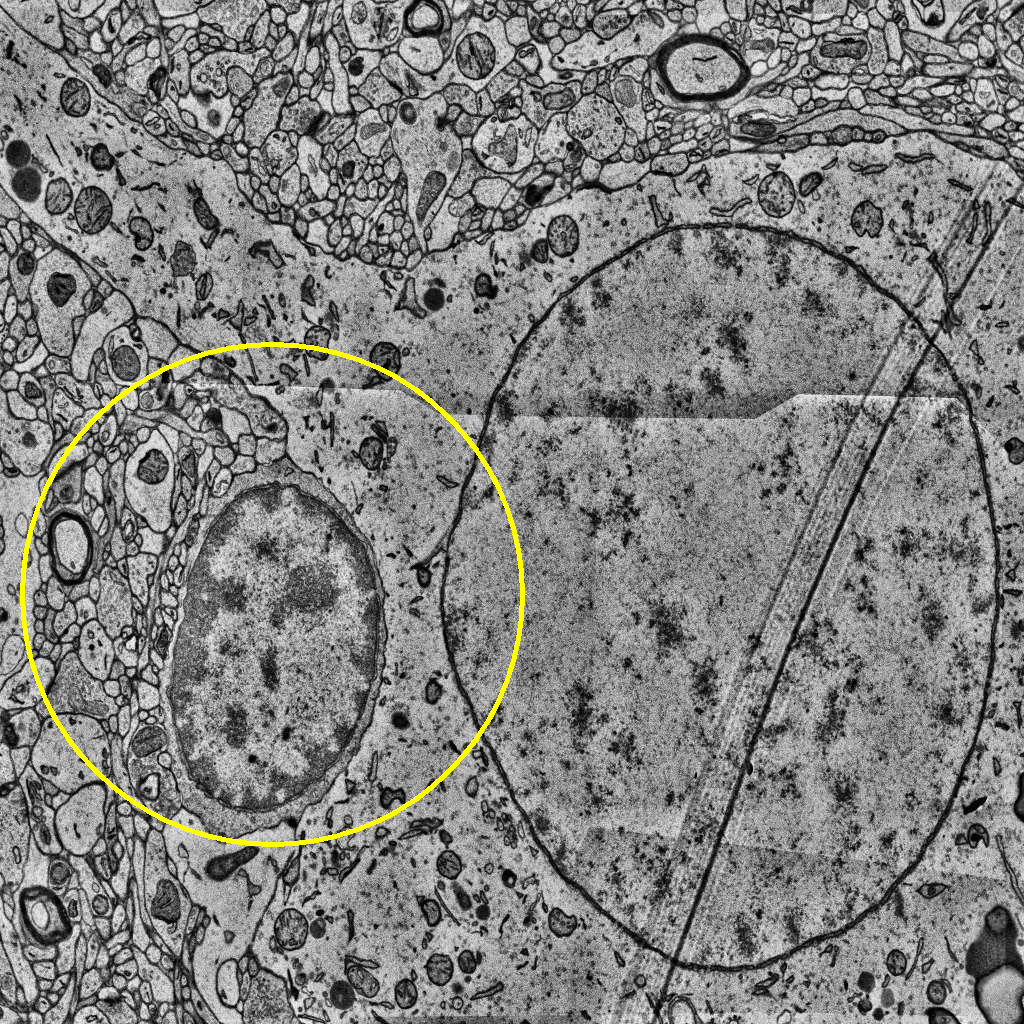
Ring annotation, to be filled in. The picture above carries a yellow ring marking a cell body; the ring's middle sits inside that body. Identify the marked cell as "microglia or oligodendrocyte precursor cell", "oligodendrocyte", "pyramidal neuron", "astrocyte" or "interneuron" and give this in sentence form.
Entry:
The cell at the middle of the ring is an oligodendrocyte.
